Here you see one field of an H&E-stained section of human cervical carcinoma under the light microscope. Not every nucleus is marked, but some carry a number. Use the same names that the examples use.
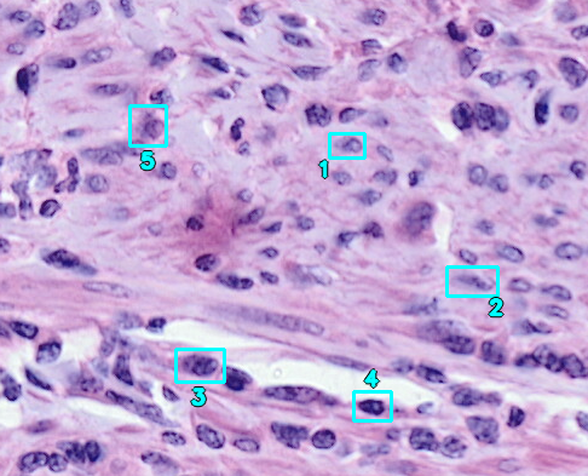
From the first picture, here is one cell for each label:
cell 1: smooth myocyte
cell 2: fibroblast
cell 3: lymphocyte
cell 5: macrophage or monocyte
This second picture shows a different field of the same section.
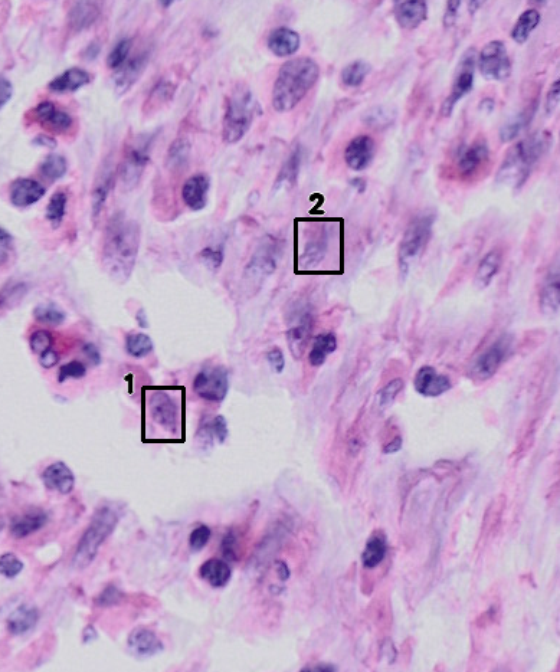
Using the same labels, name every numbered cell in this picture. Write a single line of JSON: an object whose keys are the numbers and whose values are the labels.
{"1": "macrophage or monocyte", "2": "fibroblast"}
